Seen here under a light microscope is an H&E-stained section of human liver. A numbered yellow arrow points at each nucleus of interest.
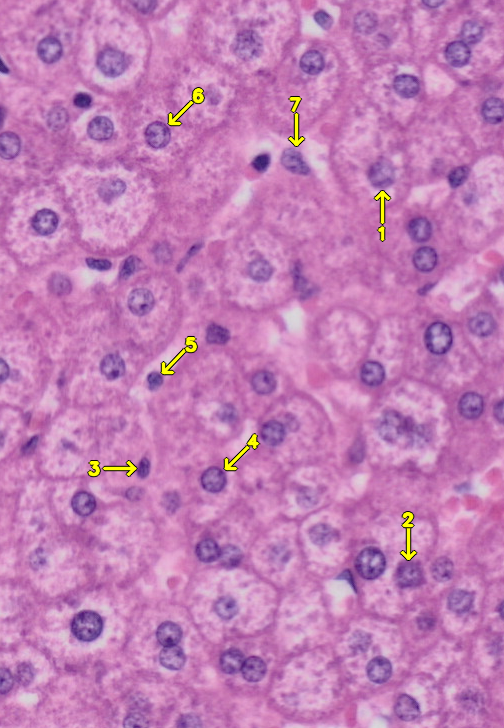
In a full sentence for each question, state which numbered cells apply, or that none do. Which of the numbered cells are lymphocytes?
In this section, the cells labelled 3 and 5 are lymphocytes.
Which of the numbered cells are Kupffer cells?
Cell 7 is the single numbered cell that is a Kupffer cell.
